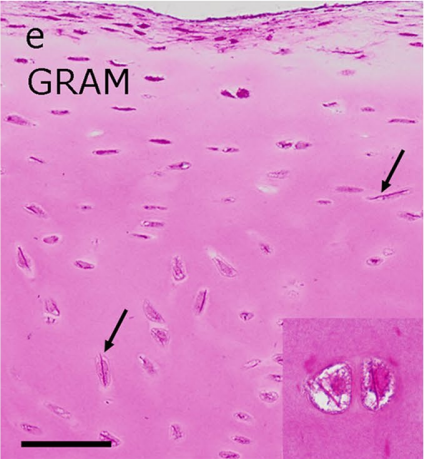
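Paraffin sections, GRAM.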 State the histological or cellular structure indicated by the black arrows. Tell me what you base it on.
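Elongated cells carry thin dark linear bodies. The inset shows needle-like bodies inside two adjacent cells. That points to this answer: crystals.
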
